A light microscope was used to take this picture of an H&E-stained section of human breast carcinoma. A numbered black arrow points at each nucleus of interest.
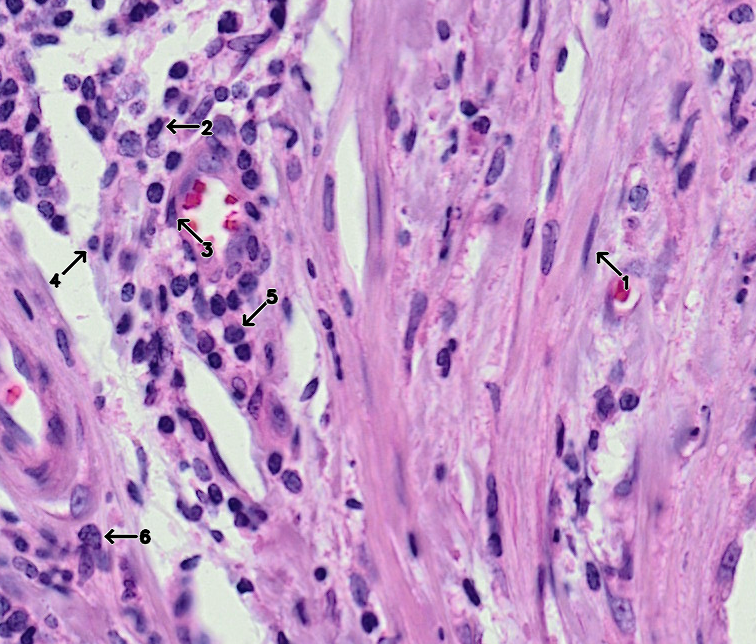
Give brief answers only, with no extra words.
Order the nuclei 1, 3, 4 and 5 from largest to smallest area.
1, 5, 3, 4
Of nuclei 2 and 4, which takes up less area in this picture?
4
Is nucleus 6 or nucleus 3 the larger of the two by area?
6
